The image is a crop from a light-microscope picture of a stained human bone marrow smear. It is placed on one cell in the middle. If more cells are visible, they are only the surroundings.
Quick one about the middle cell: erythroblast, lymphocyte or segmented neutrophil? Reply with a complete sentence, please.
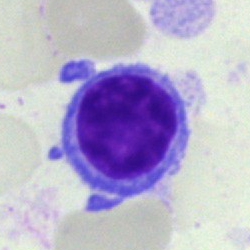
By type, the central cell of the crop is a lymphocyte.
